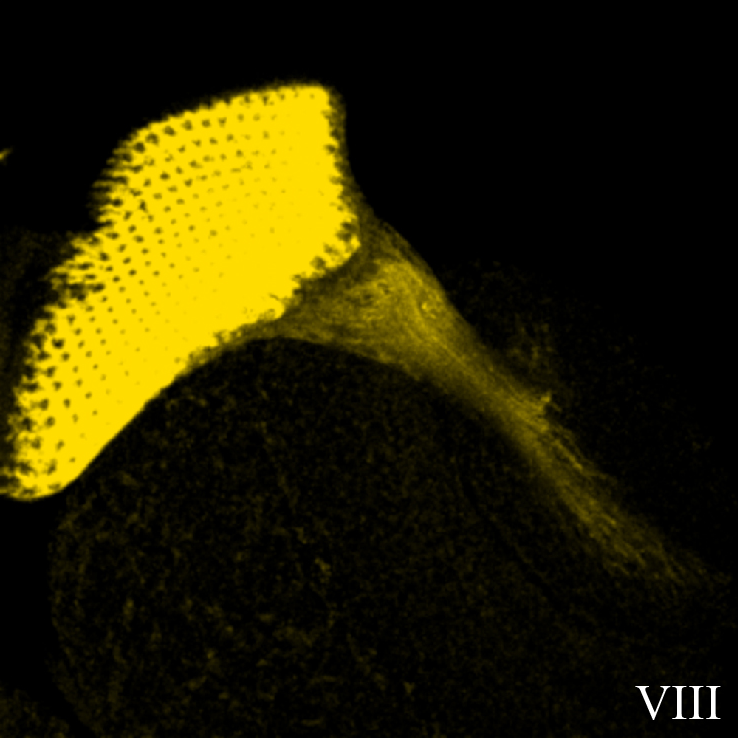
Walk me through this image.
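A bright yellow sheet of retina fills the upper left, punctuated by a regular lattice of small dark holes where the photoreceptor clusters are arrayed in rows. From its lower right edge a narrower band of fine yellow fibres, the optic stalk, runs diagonally down to the right over a dim, rounded tissue mass.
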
